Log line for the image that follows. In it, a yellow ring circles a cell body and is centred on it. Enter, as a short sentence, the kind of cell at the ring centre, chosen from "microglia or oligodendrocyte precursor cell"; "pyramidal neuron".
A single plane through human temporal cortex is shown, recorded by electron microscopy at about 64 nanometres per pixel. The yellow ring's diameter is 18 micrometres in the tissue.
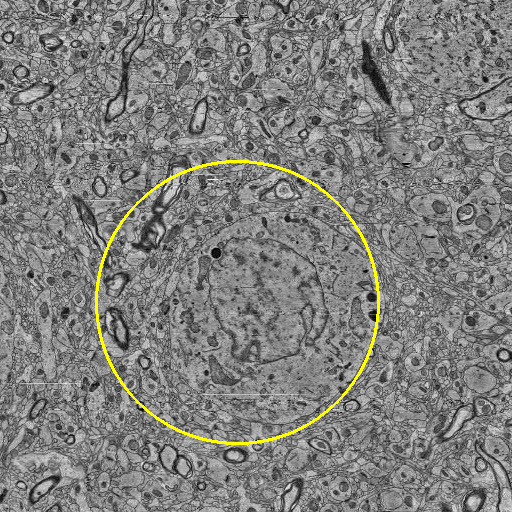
The ring centre is occupied by a pyramidal neuron.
